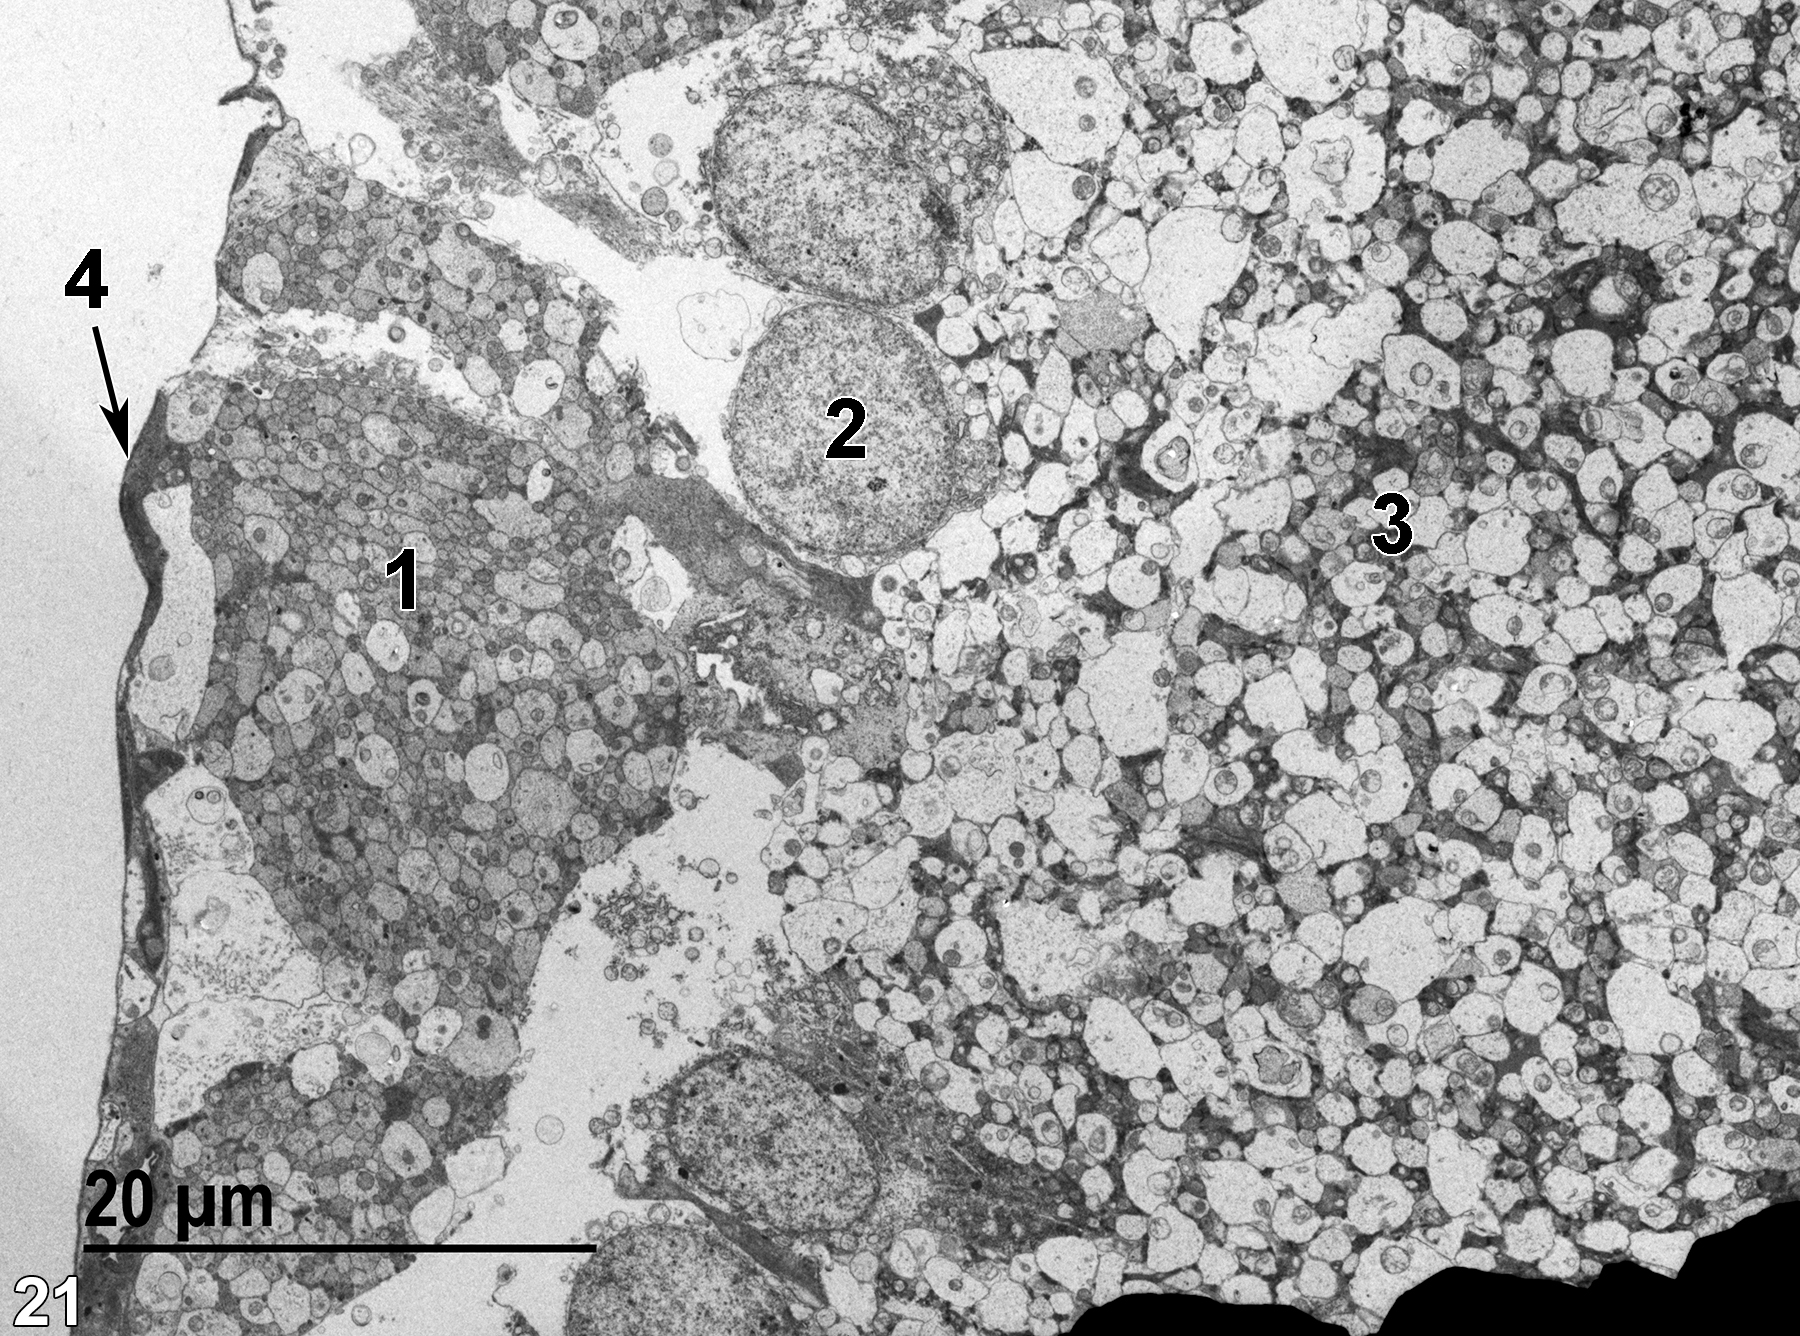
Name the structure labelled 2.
large round nuclei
